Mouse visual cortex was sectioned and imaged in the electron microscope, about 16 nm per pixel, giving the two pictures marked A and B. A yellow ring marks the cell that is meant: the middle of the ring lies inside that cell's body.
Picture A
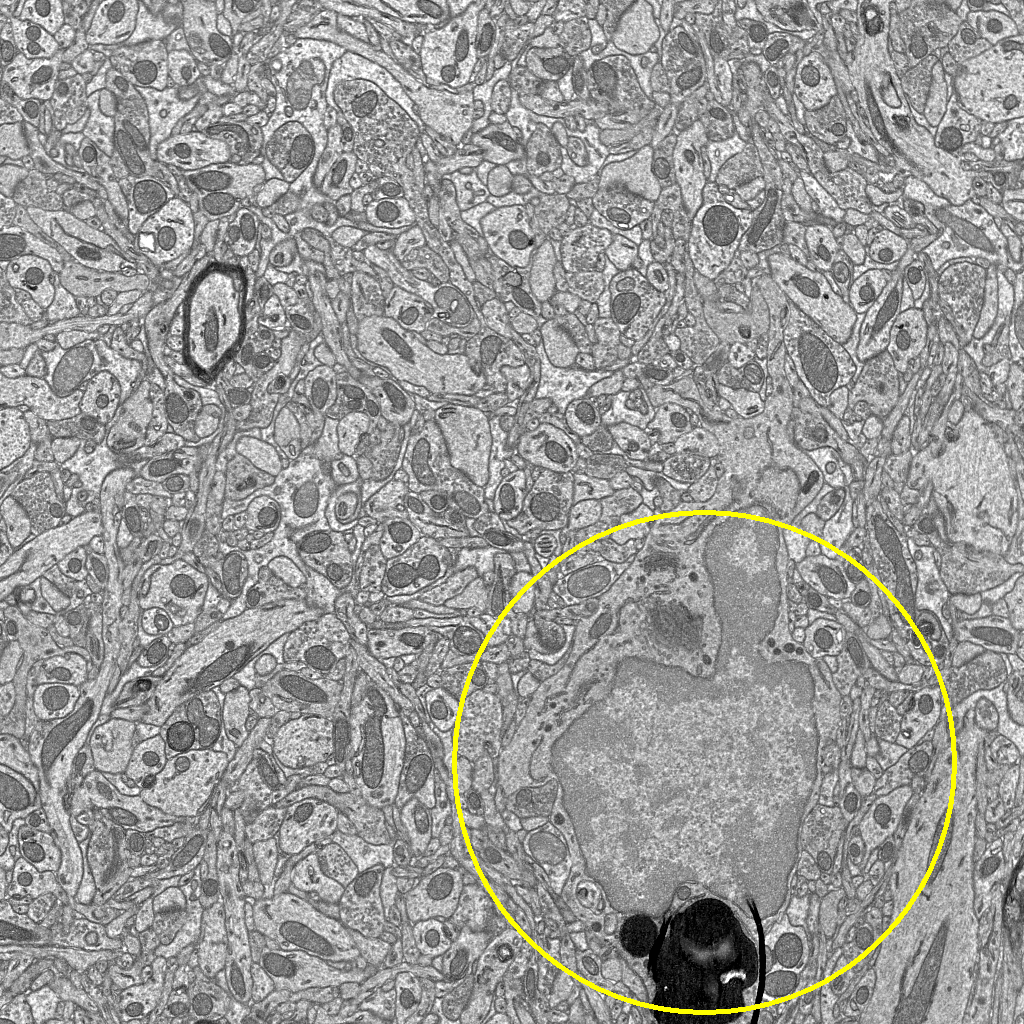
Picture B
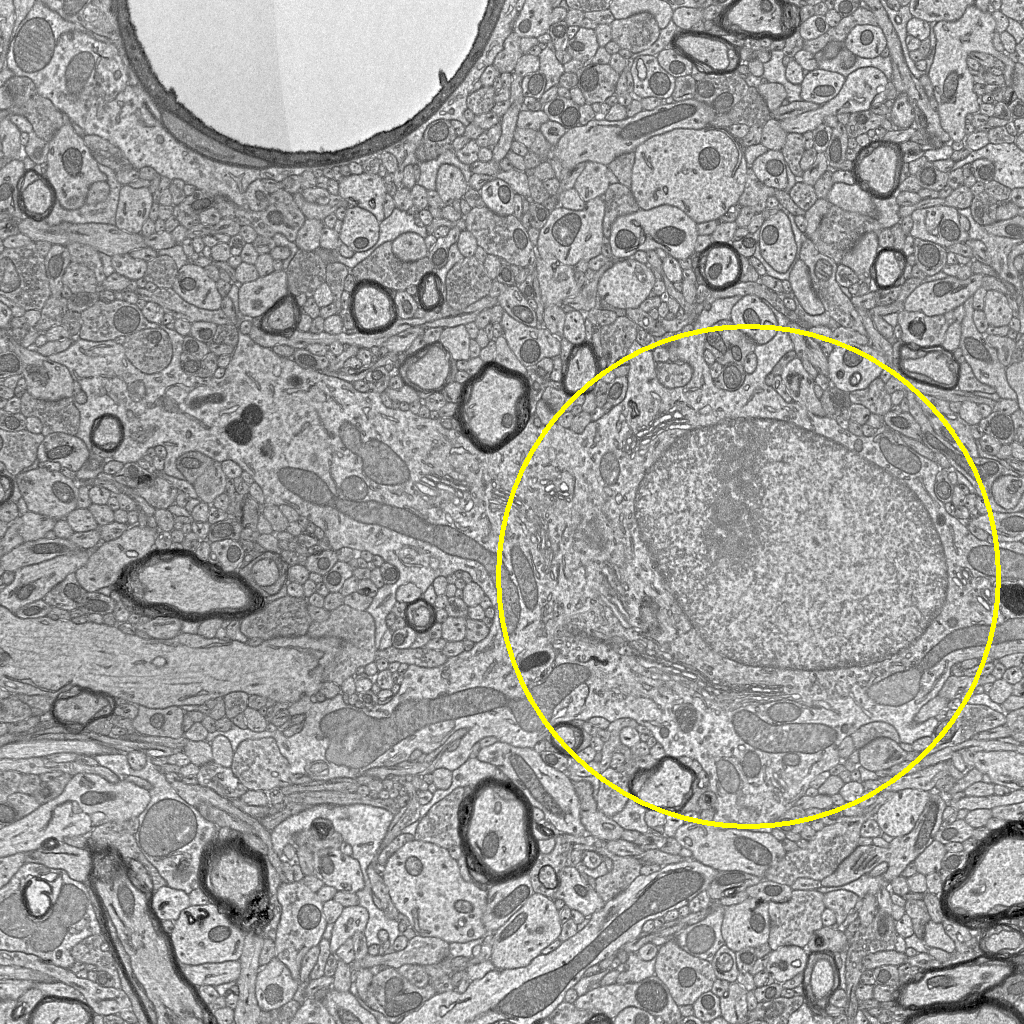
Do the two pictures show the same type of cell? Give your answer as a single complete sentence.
No; the cell in picture A is a microglial cell, while the one in picture B is an astrocyte.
